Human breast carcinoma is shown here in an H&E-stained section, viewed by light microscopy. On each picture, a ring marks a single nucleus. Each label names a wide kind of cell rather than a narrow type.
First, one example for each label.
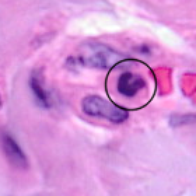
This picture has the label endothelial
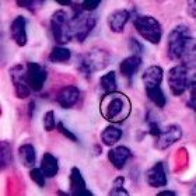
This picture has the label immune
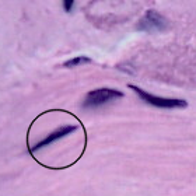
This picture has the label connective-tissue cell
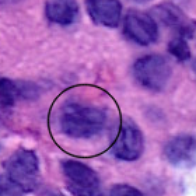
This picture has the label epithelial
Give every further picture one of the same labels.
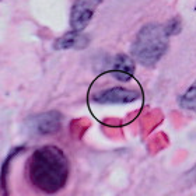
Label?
endothelial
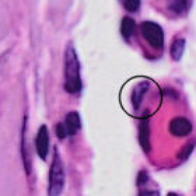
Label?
endothelial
